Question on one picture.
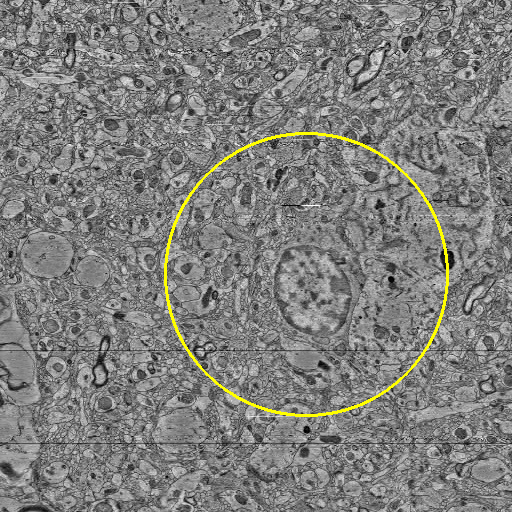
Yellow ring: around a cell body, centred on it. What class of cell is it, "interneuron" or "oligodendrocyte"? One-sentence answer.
This is an oligodendrocyte, the cell the ring is centred on.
